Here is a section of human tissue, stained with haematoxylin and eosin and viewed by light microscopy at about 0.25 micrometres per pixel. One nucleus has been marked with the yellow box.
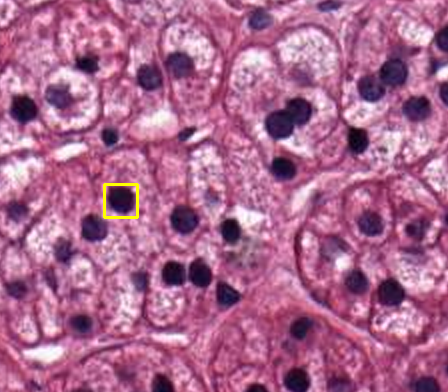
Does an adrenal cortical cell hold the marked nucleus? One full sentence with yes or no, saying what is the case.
Yes, in this image it is an adrenal cortical cell that contains the marked nucleus.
